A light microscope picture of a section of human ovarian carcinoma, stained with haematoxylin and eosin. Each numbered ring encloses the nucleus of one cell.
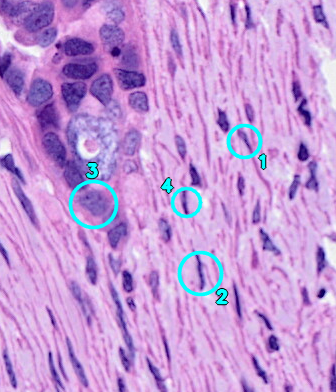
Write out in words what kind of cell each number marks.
Cell 1 is a fibroblast, cell 2 is a fibroblast, cell 3 is a carcinoma cell and cell 4 is a fibroblast.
